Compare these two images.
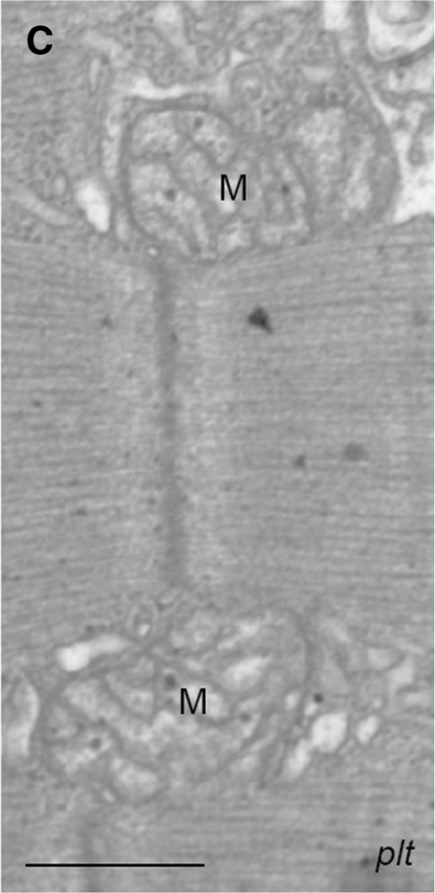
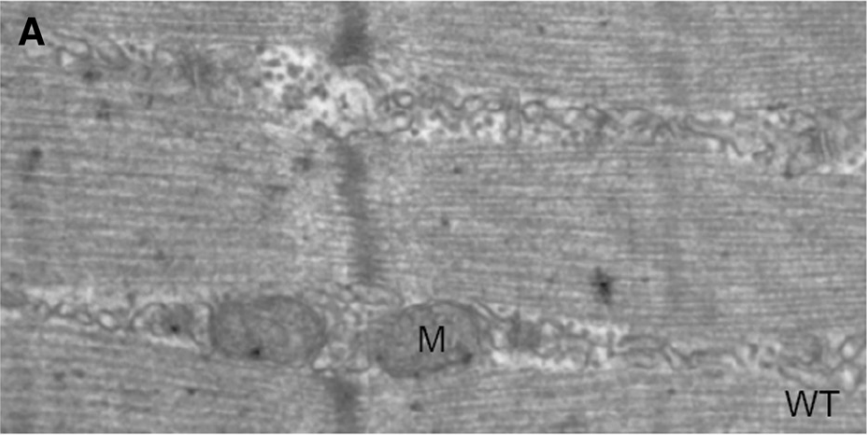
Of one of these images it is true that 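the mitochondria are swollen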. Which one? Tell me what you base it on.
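First image: large, round mitochondria with pale interiors and clear spaces bulge between myofibrils. Second image: small, oval mitochondria with dense, even interiors lie in a narrow row between myofibrils.
Answer: the first image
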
